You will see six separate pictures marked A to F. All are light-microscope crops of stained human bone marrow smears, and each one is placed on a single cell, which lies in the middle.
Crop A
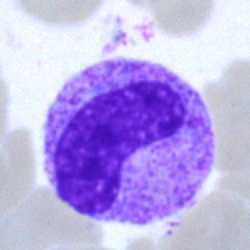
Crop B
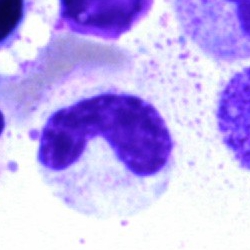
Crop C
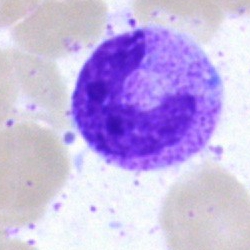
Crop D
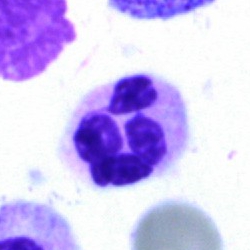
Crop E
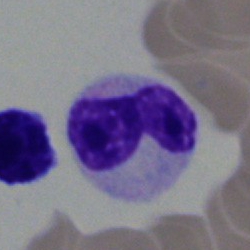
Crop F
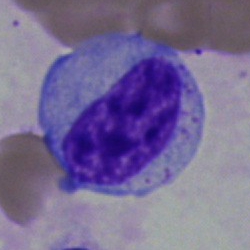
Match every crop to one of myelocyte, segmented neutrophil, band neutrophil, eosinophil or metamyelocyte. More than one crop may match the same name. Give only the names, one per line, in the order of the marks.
band neutrophil
band neutrophil
metamyelocyte
segmented neutrophil
band neutrophil
myelocyte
